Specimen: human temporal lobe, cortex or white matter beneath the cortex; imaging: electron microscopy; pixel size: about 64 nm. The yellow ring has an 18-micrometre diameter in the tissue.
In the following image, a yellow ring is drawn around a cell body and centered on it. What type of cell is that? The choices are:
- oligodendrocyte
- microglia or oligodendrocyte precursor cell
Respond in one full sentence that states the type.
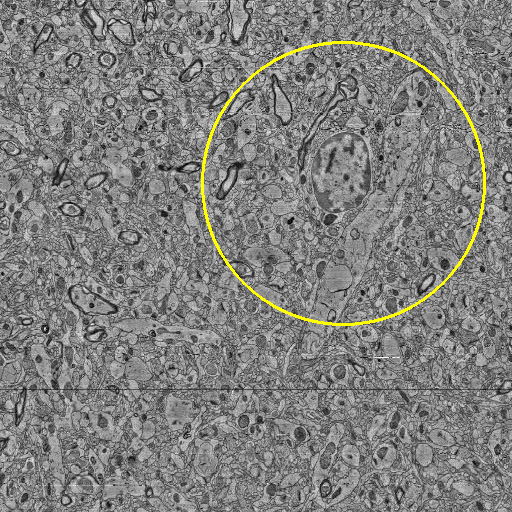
The cell at the center of the yellow ring in the image is a microglial cell or oligodendrocyte precursor cell.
